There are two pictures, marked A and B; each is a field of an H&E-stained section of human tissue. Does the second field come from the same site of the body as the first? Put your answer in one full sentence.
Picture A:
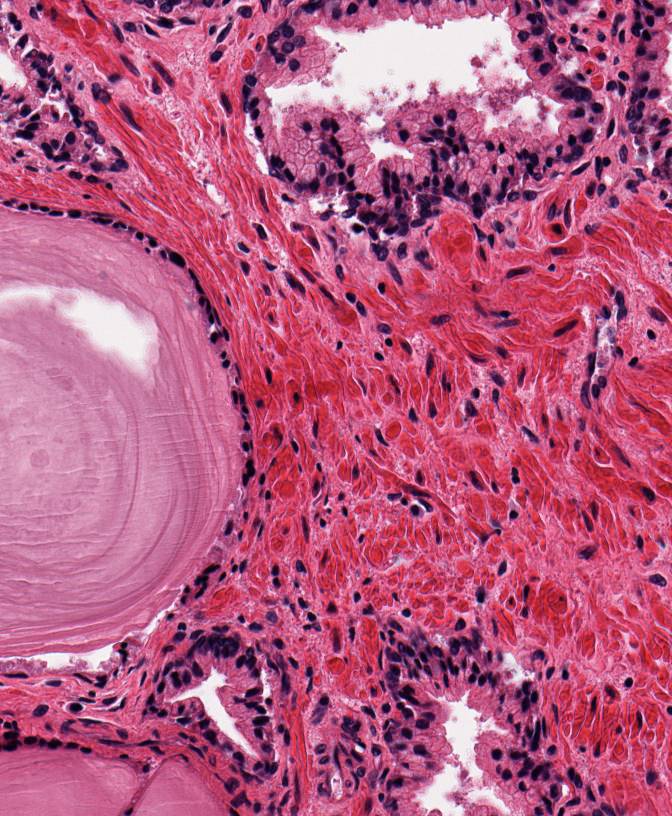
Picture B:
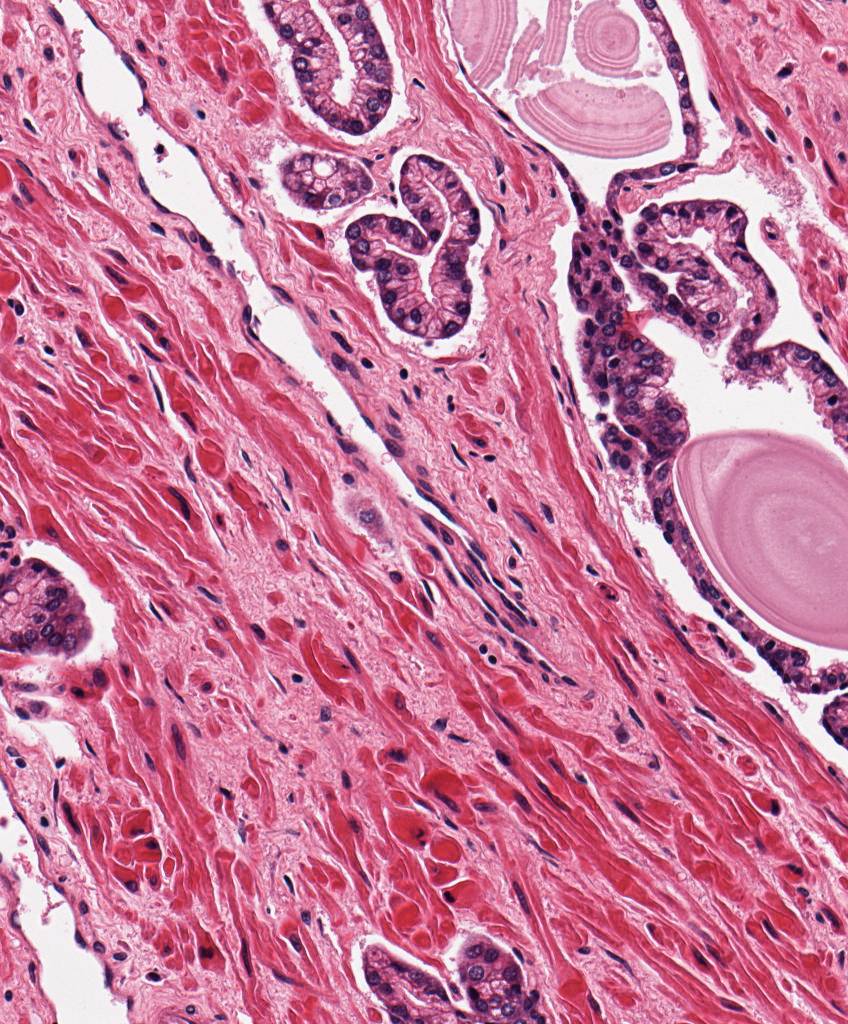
Yes, the two fields both come from the prostate.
